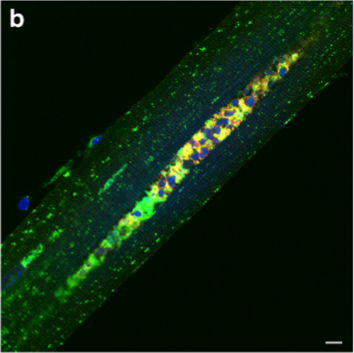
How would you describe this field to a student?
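This is a single skeletal muscle fiber running diagonally, seen in fluorescence. Fine cross-striations are faintly visible across its width, and small green dots are scattered along the myofibrils. The striking feature is a long central band where densely packed granules in yellow, green and orange crowd together, filling much of the fiber's core and displacing the regular striated pattern. A few blue nuclei sit at the edge of the fiber.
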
